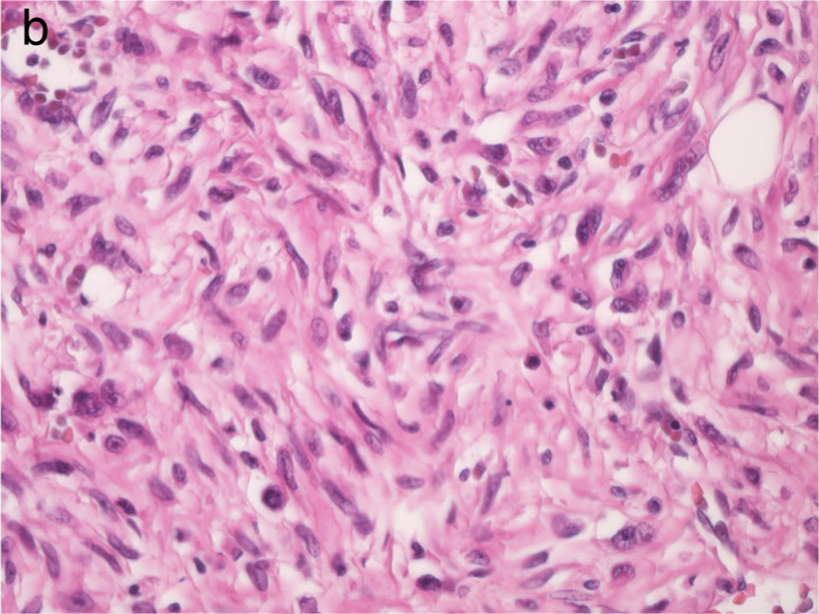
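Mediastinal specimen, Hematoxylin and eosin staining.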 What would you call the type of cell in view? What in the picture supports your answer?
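Atypical fibroblast‐like cells. Spindle-shaped cells with elongated nuclei lie in a pink fibrillary stroma. Nuclei vary in size and shape, some enlarged and dark. Scattered plump cells with larger irregular nuclei.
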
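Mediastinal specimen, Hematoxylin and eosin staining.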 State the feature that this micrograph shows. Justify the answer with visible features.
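Storiform pattern. Spindle cells run in short intersecting fascicles in varying directions. Cells appear to swirl in a loose cartwheel-like arrangement.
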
